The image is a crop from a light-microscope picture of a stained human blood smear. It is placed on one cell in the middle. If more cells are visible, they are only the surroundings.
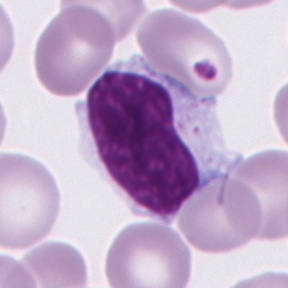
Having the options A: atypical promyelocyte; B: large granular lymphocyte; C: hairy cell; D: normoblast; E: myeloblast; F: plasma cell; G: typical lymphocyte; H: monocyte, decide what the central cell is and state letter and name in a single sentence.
The cell in the middle is a large granular lymphocyte, and so option B is correct.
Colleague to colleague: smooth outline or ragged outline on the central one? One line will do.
Because its outline is ragged or drawn out into projections, the cell lacks a smooth border.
